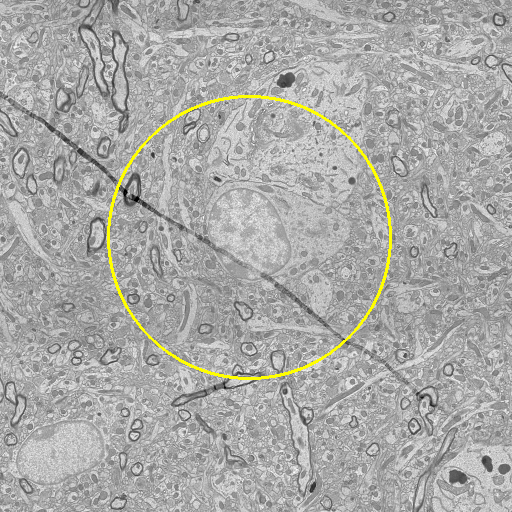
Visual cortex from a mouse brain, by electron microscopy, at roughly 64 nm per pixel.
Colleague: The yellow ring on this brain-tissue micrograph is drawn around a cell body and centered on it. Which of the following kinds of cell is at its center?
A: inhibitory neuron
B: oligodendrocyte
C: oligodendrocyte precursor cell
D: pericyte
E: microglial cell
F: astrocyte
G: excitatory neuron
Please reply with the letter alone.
B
